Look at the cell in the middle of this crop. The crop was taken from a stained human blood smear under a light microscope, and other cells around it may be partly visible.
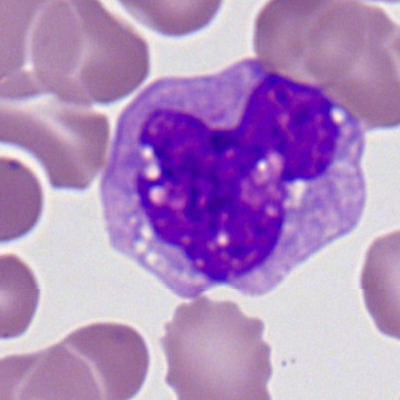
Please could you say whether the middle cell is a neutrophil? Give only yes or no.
no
